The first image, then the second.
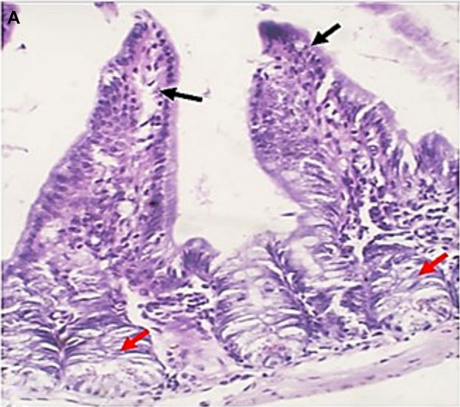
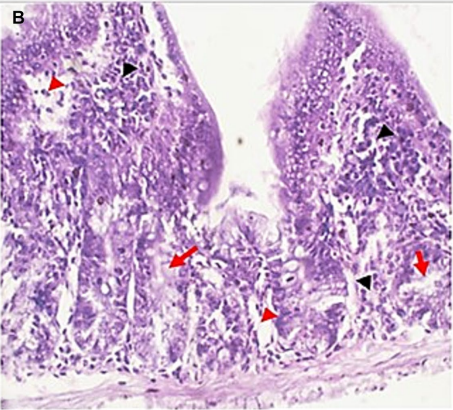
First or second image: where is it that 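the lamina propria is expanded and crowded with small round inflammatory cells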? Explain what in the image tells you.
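The second image. Second image: villus cores and spaces between glands are densely packed with small dark round nuclei.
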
